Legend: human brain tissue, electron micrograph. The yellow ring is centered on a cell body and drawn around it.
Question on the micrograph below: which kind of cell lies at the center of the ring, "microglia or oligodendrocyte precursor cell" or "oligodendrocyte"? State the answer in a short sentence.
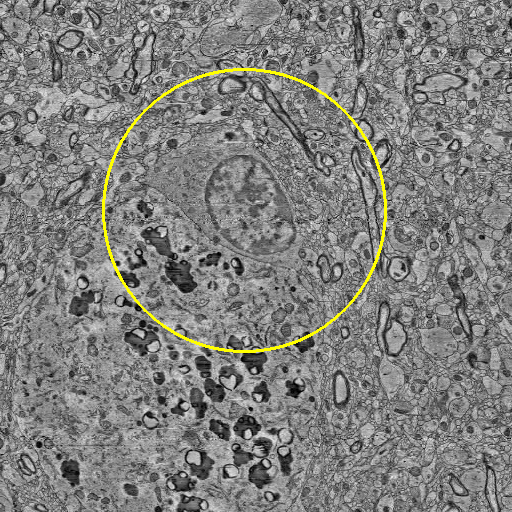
At the center of the ring lies an oligodendrocyte.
